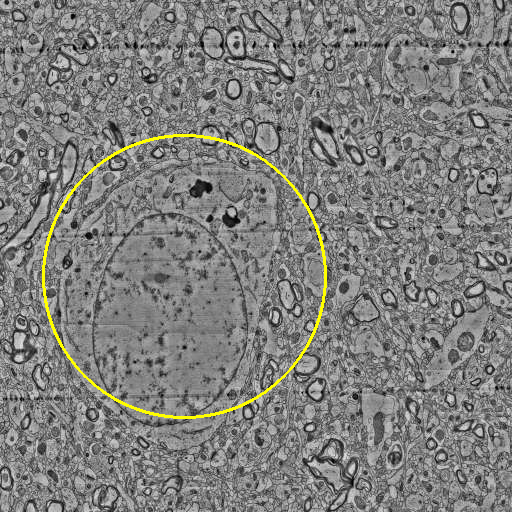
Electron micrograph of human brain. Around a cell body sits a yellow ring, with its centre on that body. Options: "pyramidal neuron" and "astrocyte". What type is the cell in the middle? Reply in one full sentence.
The cell sitting at the centre of the yellow ring is a pyramidal neuron.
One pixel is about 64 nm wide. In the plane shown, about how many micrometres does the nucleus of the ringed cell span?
The nucleus works out at approximately 14 by 10 micrometres in this plane.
